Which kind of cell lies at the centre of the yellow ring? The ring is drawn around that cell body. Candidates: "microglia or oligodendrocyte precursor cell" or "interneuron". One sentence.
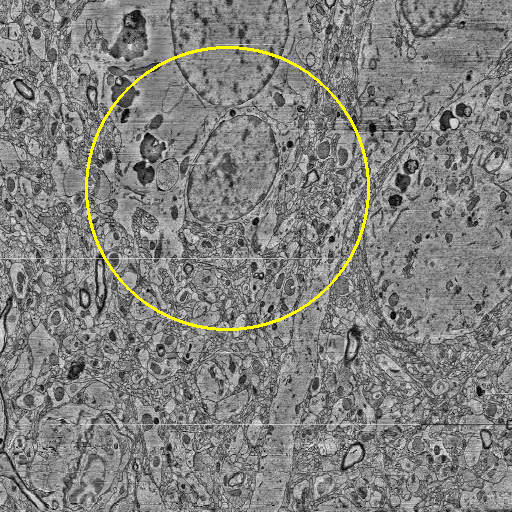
Lying at the centre of the ring is a microglial cell or oligodendrocyte precursor cell.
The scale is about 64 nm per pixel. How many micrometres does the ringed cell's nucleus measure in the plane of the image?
In this plane the nucleus measures roughly 8 by 5 micrometres.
